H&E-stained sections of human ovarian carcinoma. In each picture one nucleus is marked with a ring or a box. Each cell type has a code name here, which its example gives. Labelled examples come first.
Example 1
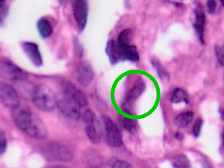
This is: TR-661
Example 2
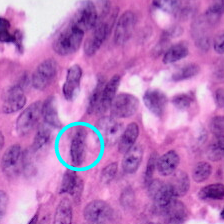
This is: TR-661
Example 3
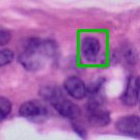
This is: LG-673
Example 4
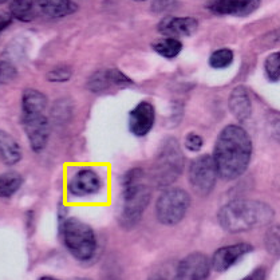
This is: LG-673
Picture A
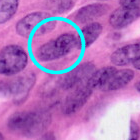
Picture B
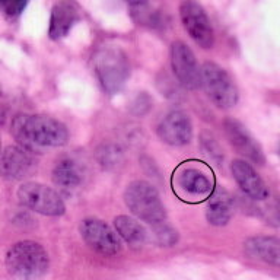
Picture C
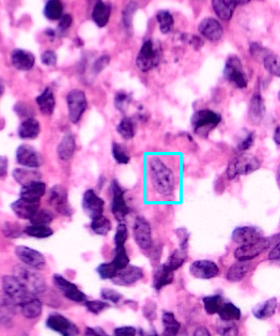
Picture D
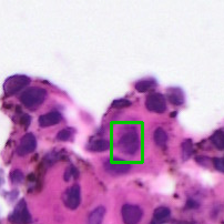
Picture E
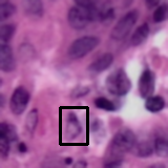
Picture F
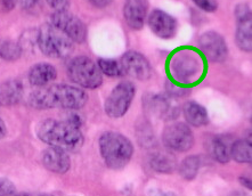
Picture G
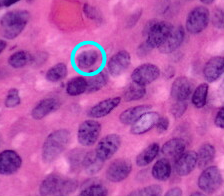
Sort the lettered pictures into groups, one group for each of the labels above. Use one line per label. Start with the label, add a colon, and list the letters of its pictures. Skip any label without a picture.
TR-661: A, D, F
LG-673: B, C, E, G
